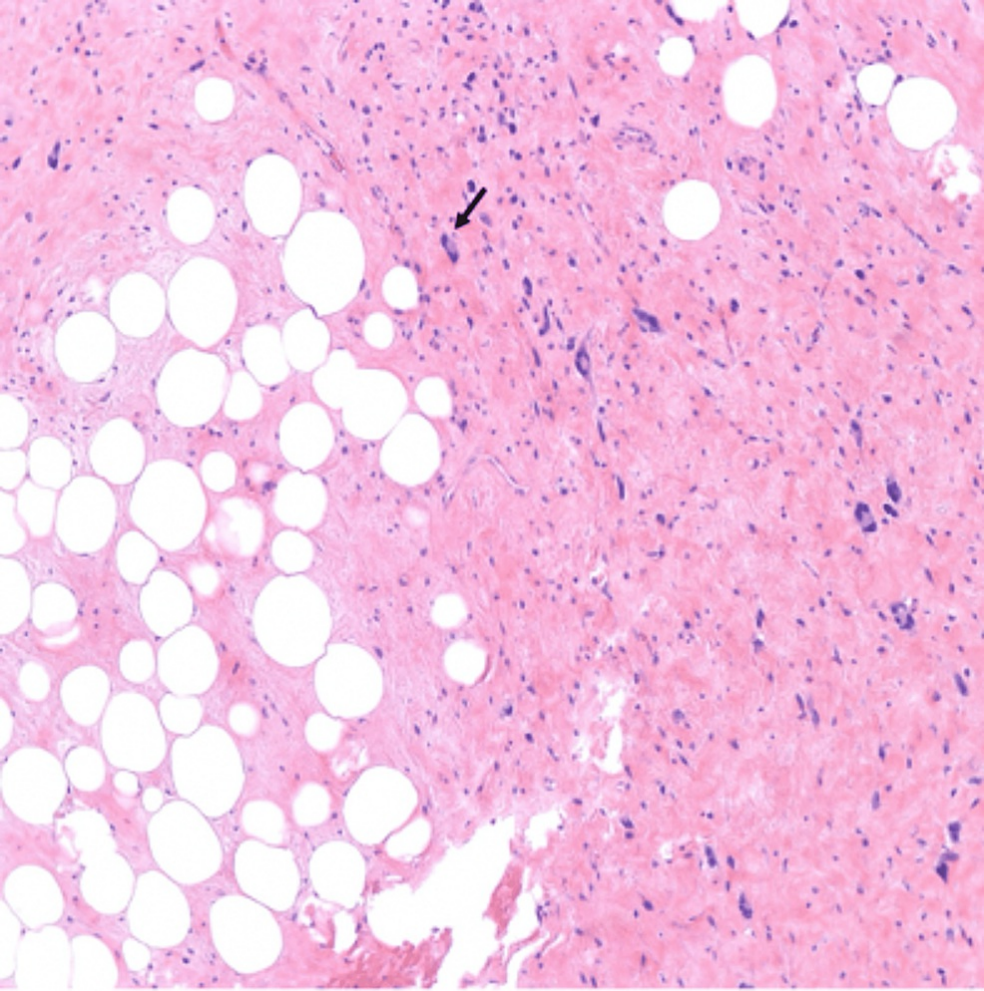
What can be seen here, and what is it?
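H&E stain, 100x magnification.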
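This is fatty tissue in which round, empty-looking mature fat cells of clearly varying sizes crowd the left side, bordered by a broad band of dense pink fibrous stroma on the right. Within the fibrous band lie scattered spindle cells, and some of them have enlarged, very dark purple, irregular nuclei that stand out against the smaller, paler stromal nuclei. A few isolated fat cells also sit within the fibrous band.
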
